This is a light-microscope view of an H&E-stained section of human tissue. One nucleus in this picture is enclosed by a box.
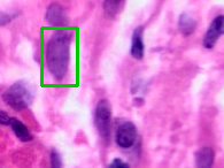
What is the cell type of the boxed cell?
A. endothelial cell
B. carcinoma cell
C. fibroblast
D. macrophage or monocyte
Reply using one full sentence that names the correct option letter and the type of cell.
Under option C, the boxed cell is listed as a fibroblast, which is correct.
